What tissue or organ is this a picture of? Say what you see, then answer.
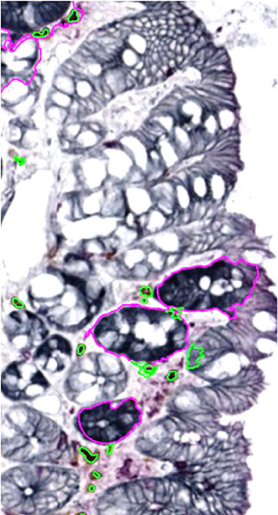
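Large intestine. Tubular crypts packed with many clear goblet cells. No villi are visible.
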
